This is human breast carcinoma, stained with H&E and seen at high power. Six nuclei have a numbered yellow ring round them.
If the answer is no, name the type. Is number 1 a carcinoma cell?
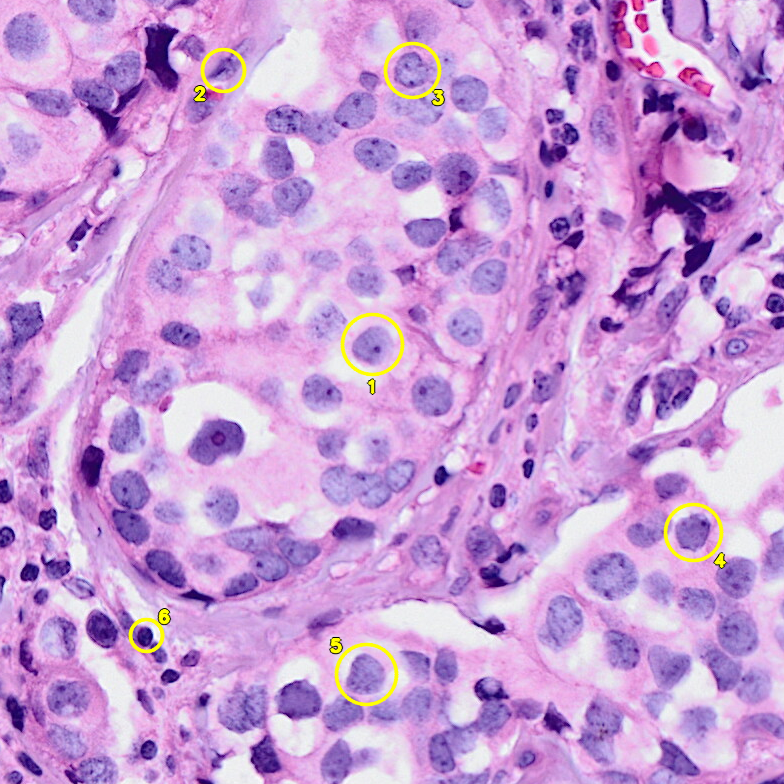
Yes.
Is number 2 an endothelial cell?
Yes.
